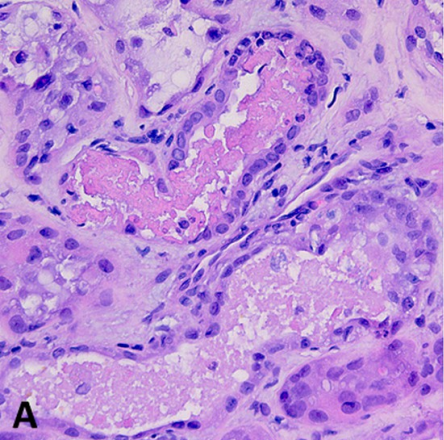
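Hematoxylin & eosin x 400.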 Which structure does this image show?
Tubular casts.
